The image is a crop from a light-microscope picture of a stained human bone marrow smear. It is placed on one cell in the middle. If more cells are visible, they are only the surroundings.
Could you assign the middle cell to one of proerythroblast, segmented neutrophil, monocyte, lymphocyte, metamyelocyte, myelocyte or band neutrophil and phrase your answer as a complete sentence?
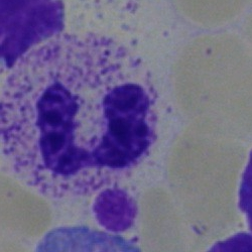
In the central position of this crop, the cell is a segmented neutrophil.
